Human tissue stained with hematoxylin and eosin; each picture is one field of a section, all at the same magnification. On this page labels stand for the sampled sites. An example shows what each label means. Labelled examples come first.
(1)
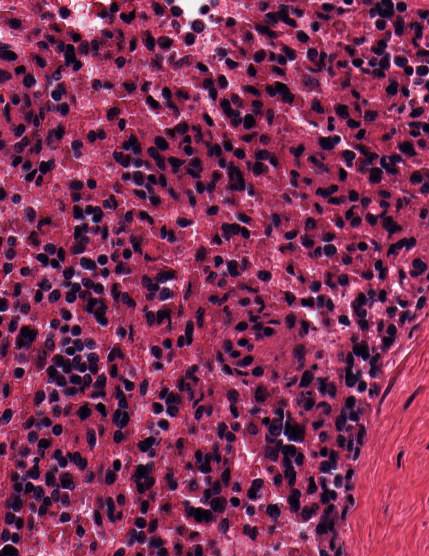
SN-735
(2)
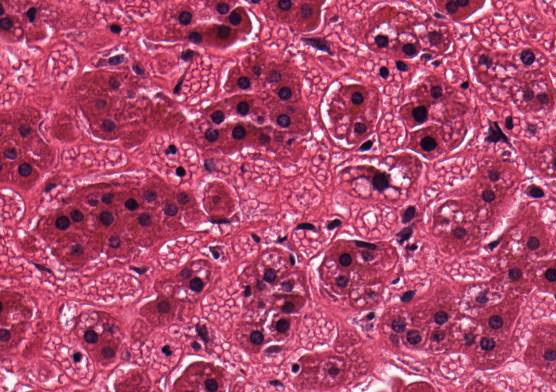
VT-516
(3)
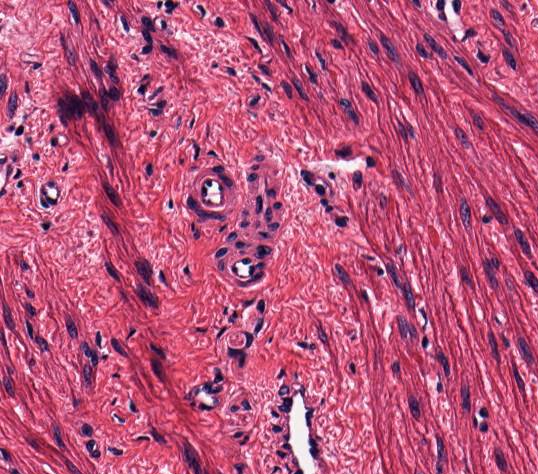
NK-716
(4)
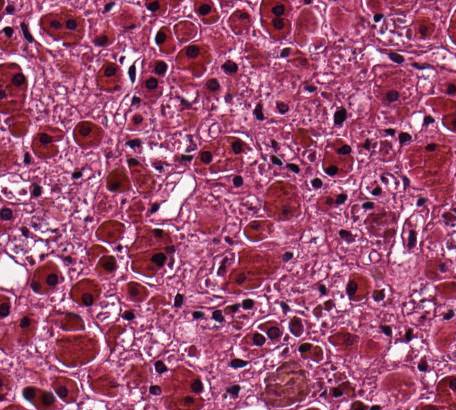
VT-516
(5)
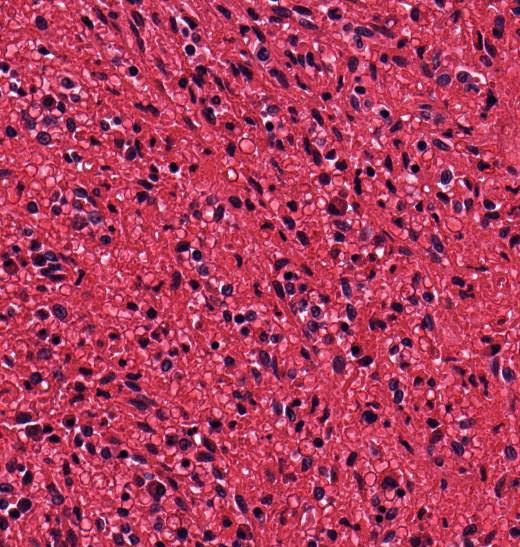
SN-735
